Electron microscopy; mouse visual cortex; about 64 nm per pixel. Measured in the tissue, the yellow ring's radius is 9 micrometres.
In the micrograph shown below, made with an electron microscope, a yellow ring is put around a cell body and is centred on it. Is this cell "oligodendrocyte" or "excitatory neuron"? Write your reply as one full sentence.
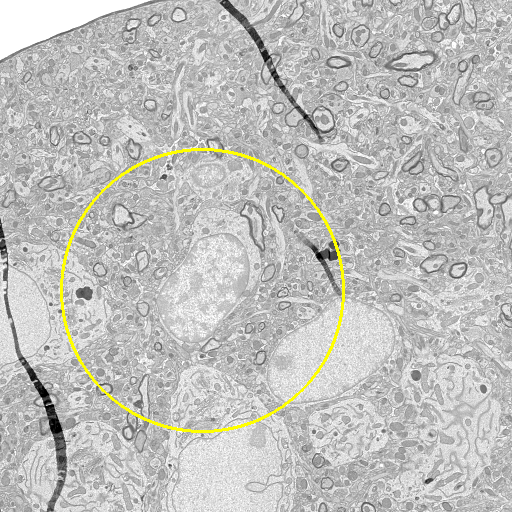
In the micrograph, an oligodendrocyte is the cell at the centre of the yellow ring.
